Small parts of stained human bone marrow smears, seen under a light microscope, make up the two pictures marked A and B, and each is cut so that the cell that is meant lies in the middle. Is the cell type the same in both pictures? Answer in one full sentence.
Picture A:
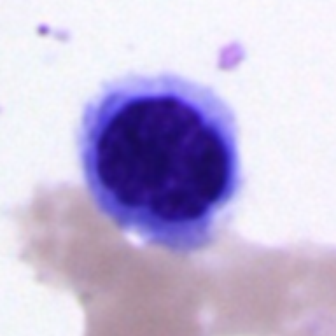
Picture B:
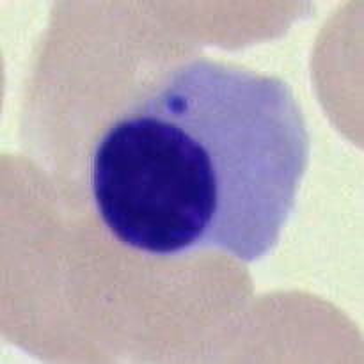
Yes, both cells are erythroblasts.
